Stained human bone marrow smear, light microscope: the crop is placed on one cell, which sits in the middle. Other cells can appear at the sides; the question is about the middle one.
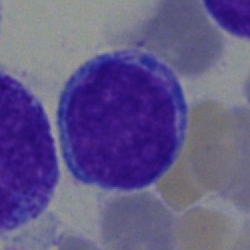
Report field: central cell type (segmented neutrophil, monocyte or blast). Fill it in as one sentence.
Located at the centre of the crop is a blast.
